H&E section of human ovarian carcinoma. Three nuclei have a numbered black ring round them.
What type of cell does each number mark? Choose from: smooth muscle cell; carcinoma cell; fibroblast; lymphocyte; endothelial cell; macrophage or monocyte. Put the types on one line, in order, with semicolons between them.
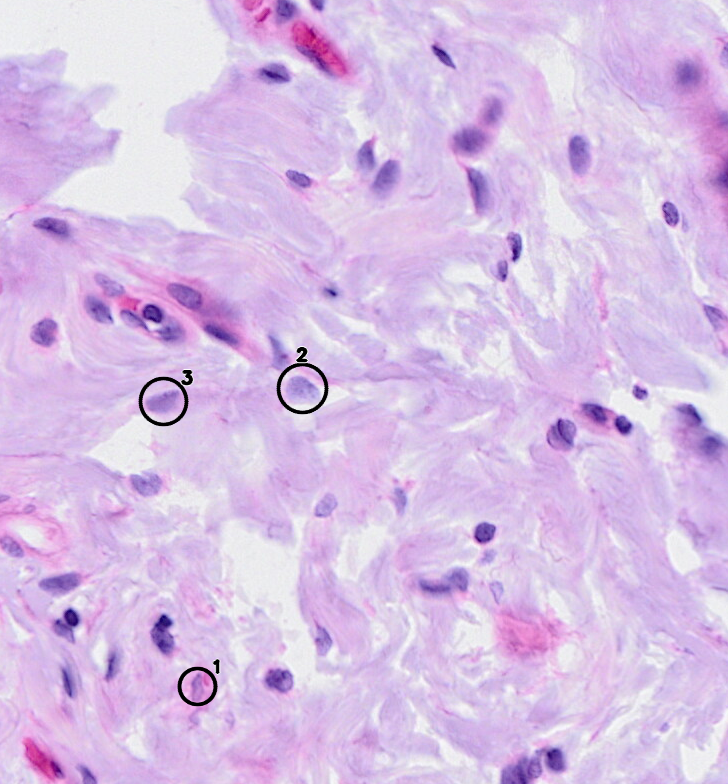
endothelial cell; fibroblast; fibroblast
